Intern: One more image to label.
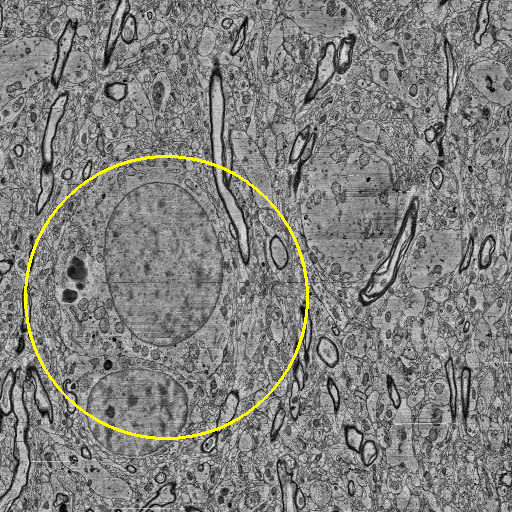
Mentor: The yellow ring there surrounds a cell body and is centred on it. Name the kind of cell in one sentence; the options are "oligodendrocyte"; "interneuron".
The ring marks the cell body of an interneuron.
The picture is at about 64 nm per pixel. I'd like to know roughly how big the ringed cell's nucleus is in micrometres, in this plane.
The nucleus is approximately 11 micrometers long by 8 micrometers wide in this plane.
